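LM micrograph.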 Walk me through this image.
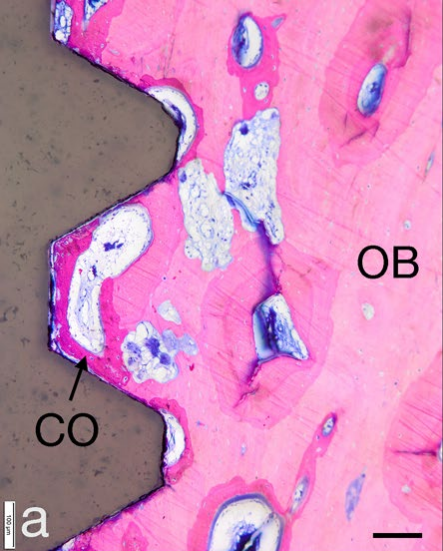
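Bone tissue lies against the grey threaded surface of an implant. Deep pink bone runs directly along the thread contour, where bone forms in contact with the implant. The bone further away is paler pink and holds scattered vascular and marrow spaces with pale and blue-stained contents.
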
